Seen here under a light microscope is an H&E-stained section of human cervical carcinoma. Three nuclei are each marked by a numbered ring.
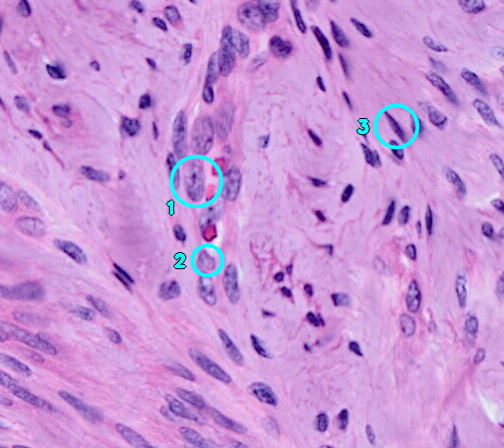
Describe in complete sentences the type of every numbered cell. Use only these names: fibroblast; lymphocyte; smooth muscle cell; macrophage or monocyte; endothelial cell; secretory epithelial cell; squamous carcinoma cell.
Cells 1 and 2 are endothelial cells. Cell 3 is a fibroblast.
